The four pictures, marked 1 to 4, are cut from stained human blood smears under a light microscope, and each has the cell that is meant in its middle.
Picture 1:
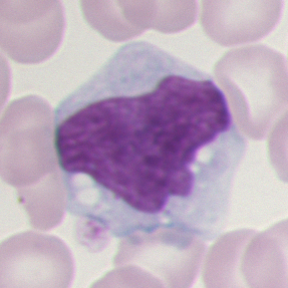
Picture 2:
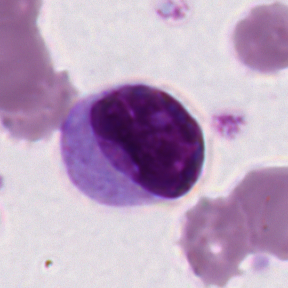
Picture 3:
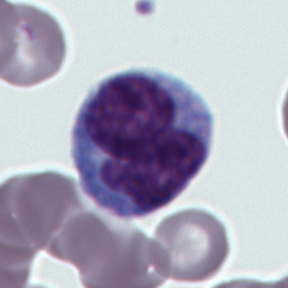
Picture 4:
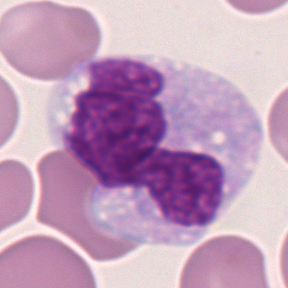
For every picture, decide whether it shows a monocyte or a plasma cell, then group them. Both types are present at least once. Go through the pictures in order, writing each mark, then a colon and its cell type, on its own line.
1: monocyte
2: plasma cell
3: monocyte
4: monocyte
